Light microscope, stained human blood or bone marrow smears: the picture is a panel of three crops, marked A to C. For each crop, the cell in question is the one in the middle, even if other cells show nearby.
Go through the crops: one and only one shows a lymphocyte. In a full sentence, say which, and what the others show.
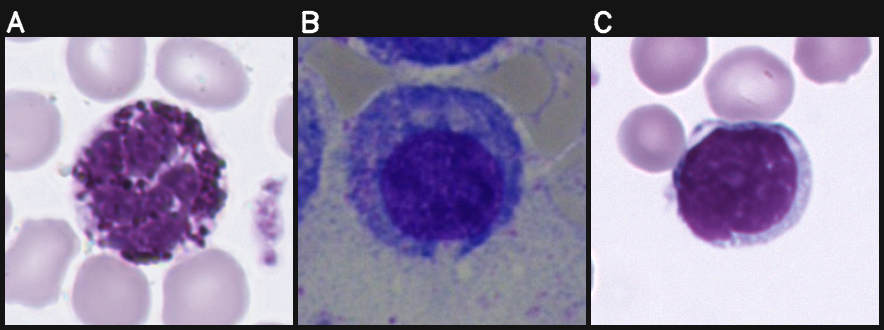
In the crop designated C, the cell is a lymphocyte, while crop A is a basophil and crop B is a promyelocyte.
